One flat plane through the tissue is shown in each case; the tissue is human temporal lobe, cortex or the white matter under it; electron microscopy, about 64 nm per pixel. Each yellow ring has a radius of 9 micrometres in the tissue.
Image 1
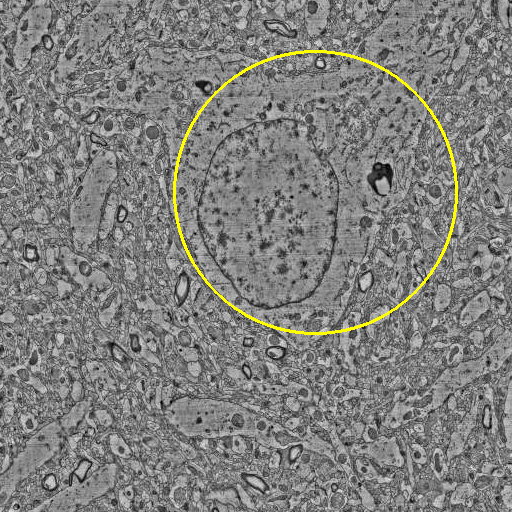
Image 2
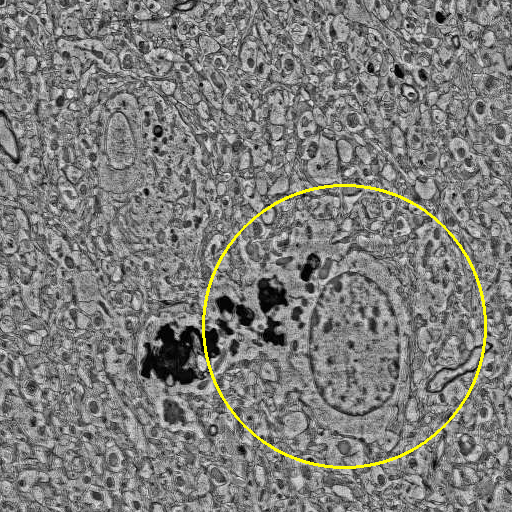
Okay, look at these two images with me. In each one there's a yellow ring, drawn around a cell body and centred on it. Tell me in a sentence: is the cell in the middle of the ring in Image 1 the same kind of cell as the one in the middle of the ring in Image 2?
No, they're two kinds of cell.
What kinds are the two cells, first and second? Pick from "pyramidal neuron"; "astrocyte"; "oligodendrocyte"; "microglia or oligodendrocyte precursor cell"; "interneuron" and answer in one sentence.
The second picture holds an astrocyte in its ring, and the first holds a pyramidal neuron.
